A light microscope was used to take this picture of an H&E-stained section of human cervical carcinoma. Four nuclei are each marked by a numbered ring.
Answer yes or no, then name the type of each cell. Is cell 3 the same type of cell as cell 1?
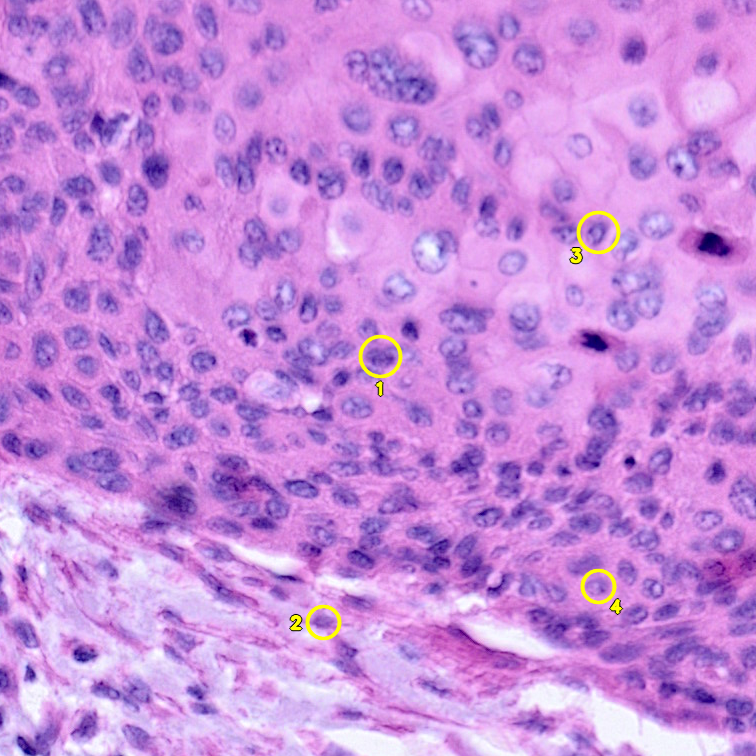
Yes, the two numbered cells 3 and 1 are both squamous carcinoma cells.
